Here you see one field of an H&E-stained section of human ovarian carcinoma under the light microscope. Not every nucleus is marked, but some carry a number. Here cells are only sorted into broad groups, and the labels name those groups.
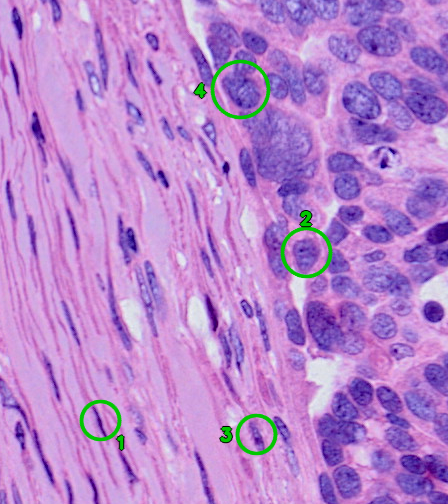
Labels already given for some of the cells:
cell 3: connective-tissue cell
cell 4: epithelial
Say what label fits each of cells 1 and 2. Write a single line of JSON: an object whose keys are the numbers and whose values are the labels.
{"1": "connective-tissue cell", "2": "epithelial"}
